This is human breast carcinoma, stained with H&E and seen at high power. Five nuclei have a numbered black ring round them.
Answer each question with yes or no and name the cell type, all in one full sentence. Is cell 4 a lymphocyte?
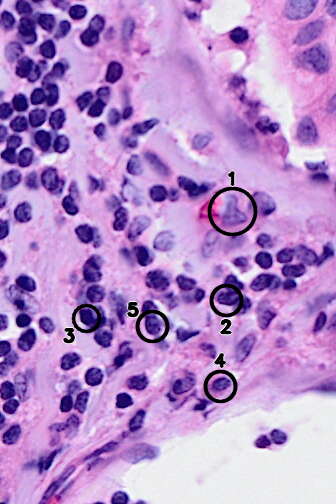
No, the cell carrying number 4 is a mast cell rather than a lymphocyte.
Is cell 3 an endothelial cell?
No, number 3 points to a lymphocyte and not to an endothelial cell.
